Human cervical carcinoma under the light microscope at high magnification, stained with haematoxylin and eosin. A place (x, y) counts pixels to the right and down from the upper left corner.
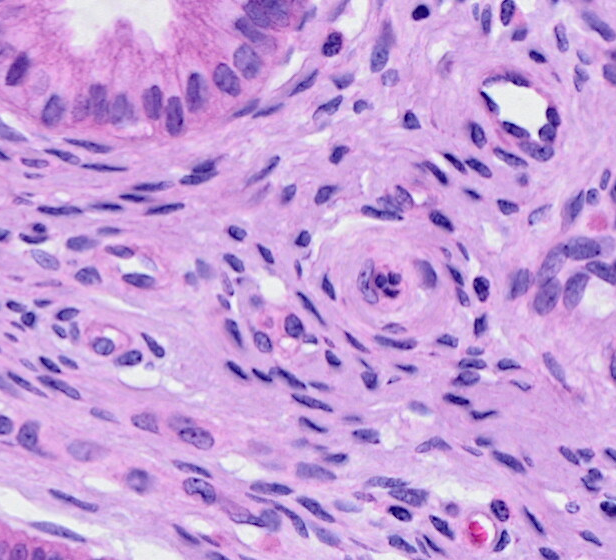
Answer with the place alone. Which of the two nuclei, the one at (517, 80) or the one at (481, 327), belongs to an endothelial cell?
(517, 80)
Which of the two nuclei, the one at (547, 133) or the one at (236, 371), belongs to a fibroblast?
(236, 371)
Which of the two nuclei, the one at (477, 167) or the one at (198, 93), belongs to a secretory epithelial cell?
(198, 93)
